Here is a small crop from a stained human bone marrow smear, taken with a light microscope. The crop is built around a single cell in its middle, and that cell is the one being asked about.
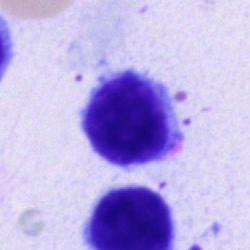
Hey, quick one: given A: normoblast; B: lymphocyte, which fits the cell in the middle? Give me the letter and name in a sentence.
The correct option is B, as the central cell is a lymphocyte.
